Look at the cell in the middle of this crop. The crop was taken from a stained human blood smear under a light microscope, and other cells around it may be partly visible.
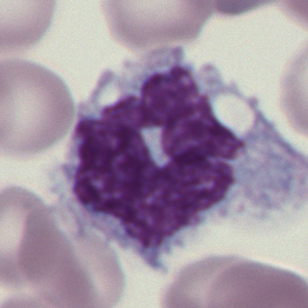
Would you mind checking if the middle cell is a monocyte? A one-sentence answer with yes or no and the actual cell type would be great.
Yes, the cell at the heart of the crop is a monocyte.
